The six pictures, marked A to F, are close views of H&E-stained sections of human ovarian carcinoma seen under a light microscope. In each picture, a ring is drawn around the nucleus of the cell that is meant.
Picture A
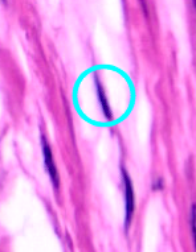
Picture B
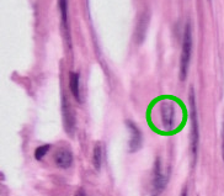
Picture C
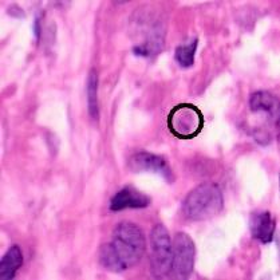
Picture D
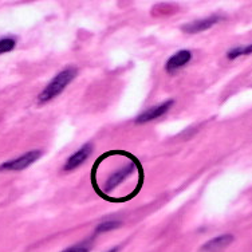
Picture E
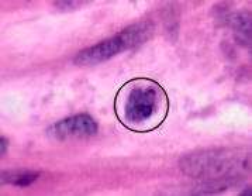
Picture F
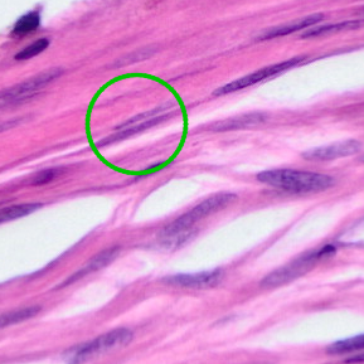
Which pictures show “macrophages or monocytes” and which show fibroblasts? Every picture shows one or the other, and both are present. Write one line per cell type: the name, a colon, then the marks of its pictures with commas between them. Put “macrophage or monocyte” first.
macrophage or monocyte: C, E
fibroblast: A, B, D, F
